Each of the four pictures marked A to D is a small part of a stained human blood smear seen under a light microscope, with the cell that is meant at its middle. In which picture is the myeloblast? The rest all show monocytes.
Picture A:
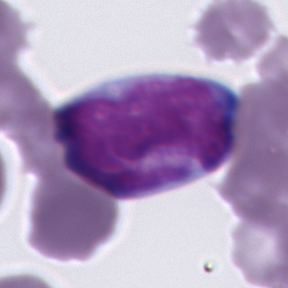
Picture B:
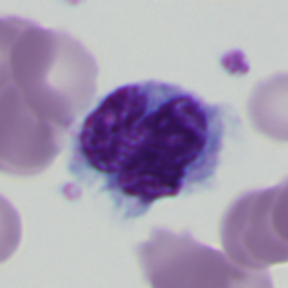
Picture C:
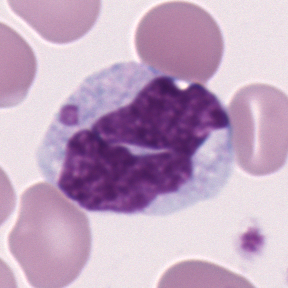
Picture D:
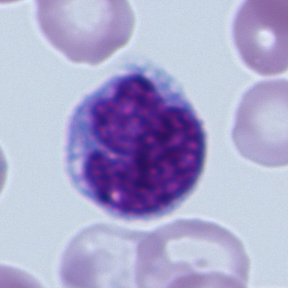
A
